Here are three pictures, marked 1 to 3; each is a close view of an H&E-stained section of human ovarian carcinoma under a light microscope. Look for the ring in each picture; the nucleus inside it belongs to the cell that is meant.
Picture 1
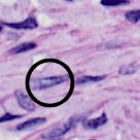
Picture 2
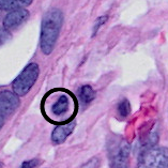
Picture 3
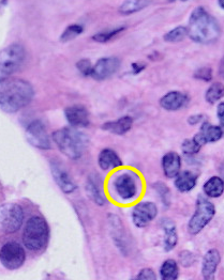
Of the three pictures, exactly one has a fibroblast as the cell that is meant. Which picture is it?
1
